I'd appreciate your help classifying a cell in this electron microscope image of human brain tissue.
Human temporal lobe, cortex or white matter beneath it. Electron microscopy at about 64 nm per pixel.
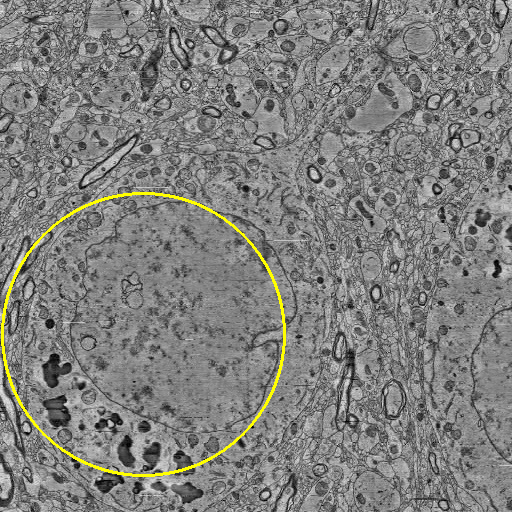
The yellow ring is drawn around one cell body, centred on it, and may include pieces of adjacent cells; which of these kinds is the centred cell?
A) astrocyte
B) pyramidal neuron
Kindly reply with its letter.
B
